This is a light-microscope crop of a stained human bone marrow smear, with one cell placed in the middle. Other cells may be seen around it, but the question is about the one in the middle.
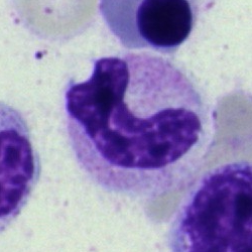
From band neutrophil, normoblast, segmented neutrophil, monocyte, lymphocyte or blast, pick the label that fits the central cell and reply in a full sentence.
Seen at the centre of the crop is a band neutrophil.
